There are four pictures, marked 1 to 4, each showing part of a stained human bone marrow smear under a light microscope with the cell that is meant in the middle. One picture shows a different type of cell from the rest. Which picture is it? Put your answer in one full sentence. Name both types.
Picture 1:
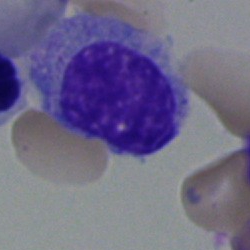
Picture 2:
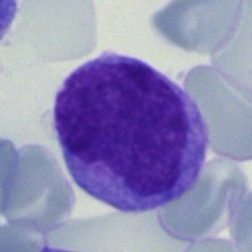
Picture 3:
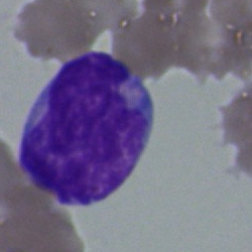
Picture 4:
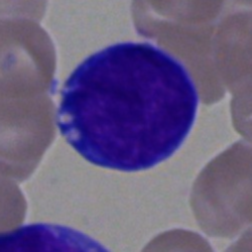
Picture 1 differs, because its cell is a myelocyte and the rest are blasts.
